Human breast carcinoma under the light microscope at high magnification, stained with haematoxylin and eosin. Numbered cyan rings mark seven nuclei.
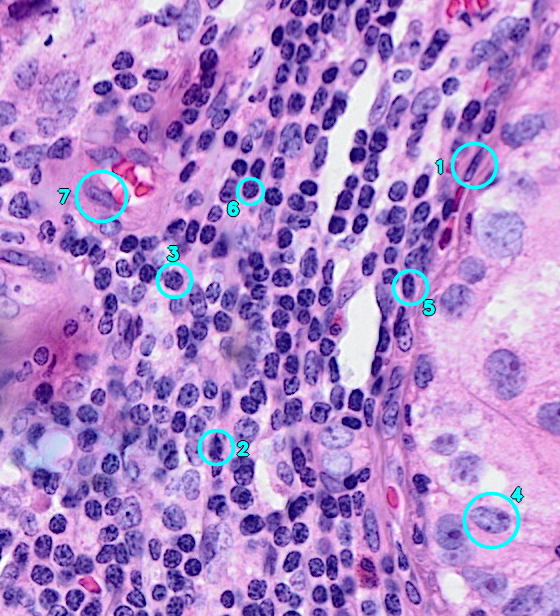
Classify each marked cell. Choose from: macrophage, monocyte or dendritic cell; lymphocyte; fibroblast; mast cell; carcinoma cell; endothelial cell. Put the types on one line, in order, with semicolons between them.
endothelial cell; lymphocyte; lymphocyte; carcinoma cell; lymphocyte; lymphocyte; endothelial cell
